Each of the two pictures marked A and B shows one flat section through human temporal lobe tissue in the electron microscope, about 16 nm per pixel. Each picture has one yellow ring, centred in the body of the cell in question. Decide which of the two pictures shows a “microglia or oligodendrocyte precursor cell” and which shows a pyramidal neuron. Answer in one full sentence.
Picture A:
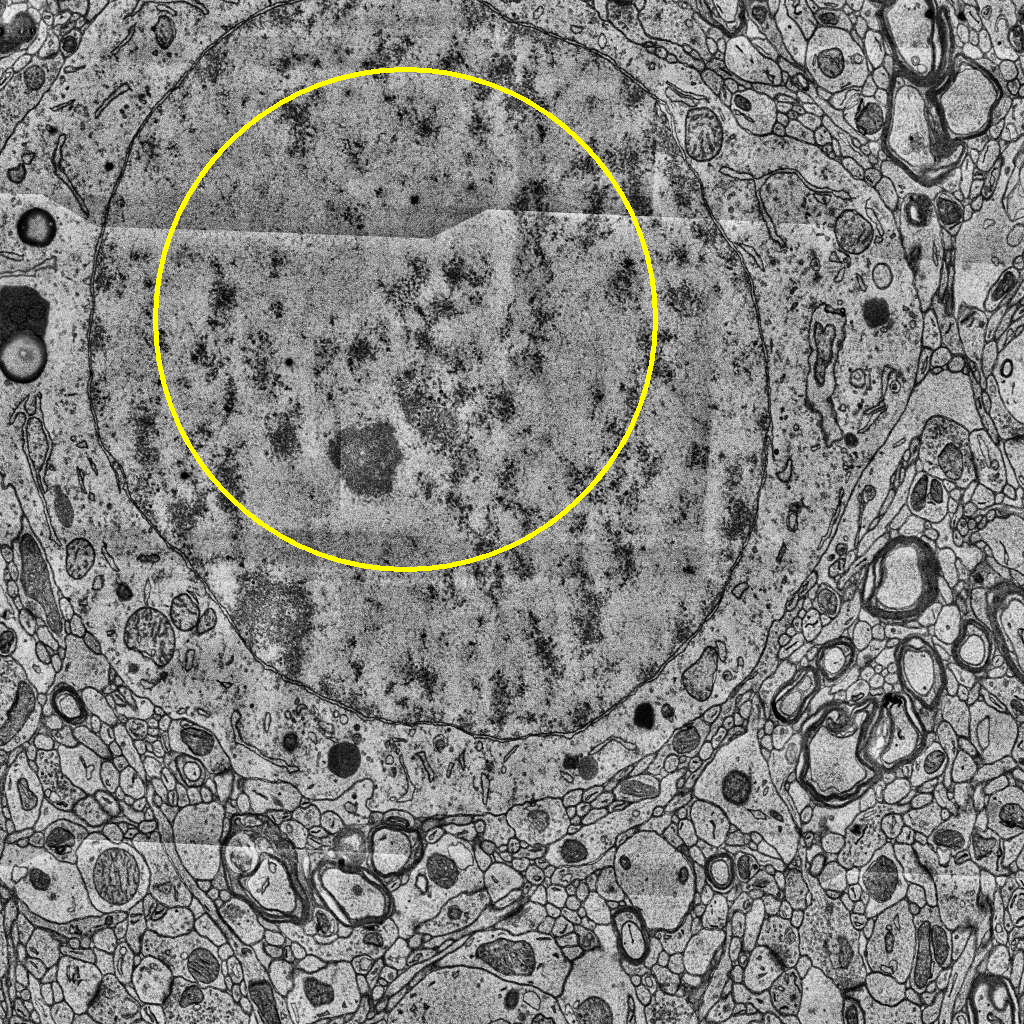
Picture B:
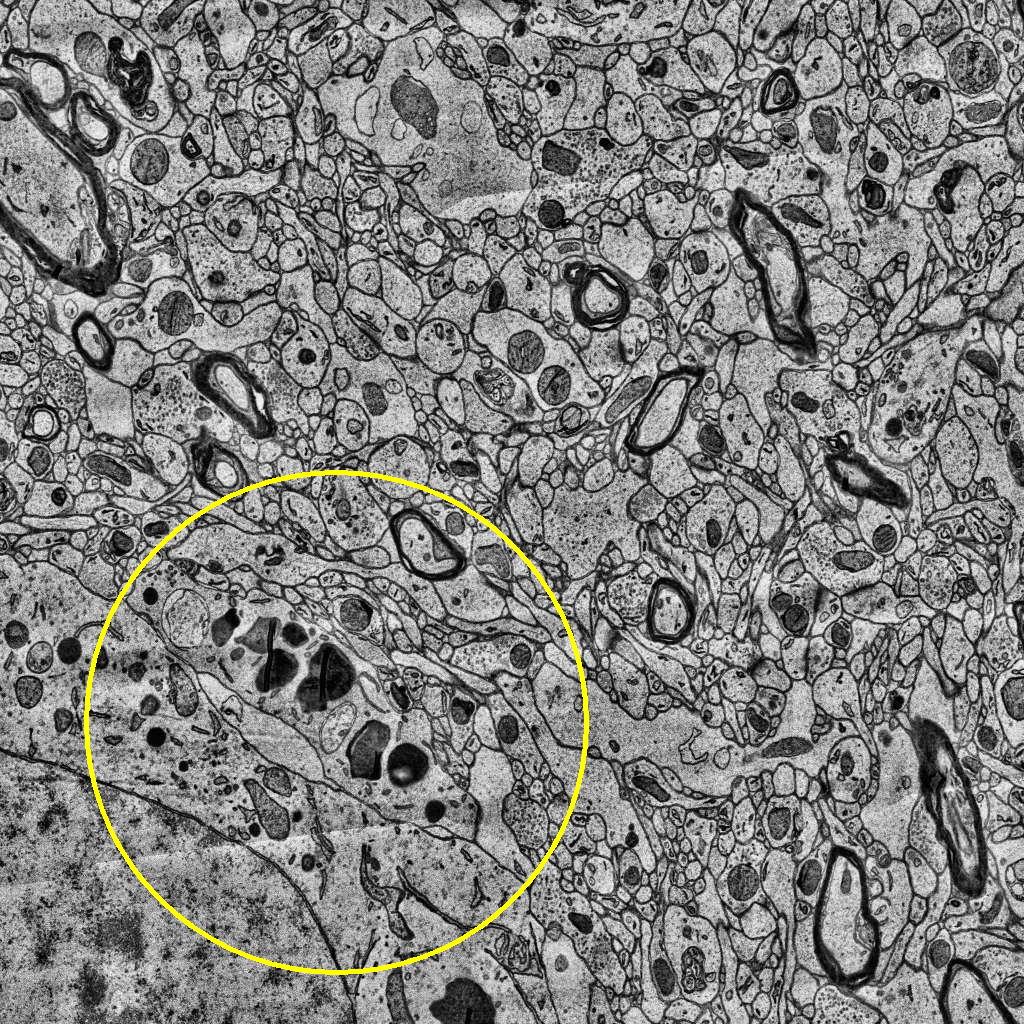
The cell in picture A is a pyramidal neuron, and the one in picture B is a “microglia or oligodendrocyte precursor cell”.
